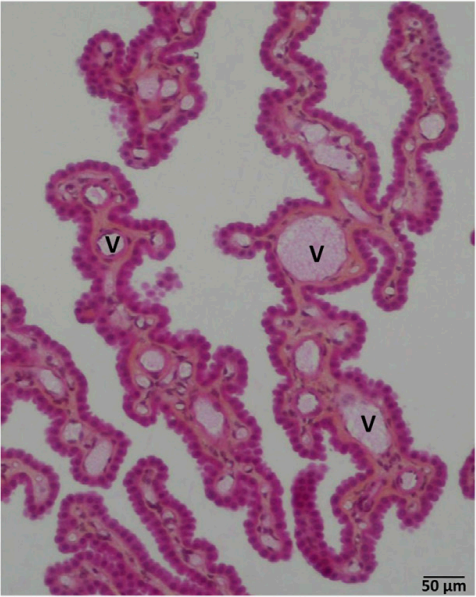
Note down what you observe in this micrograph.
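This section shows choroid plexus, cut as branching, folded fronds lying free in an empty space. Each frond is covered by a single continuous layer of cuboidal epithelial cells with round, darkly staining nuclei and pink-purple cytoplasm. Beneath the epithelium lies a loose pink stroma containing wide, thin-walled vessels, some filled with pale pink material. The outer epithelial layer appears intact all round the stroma.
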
